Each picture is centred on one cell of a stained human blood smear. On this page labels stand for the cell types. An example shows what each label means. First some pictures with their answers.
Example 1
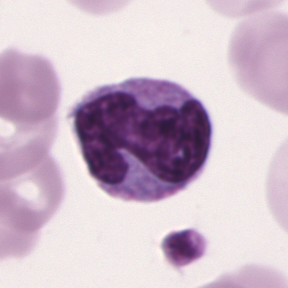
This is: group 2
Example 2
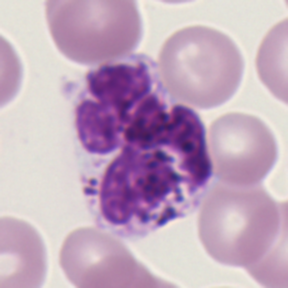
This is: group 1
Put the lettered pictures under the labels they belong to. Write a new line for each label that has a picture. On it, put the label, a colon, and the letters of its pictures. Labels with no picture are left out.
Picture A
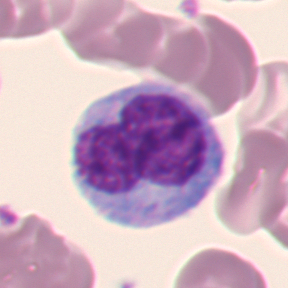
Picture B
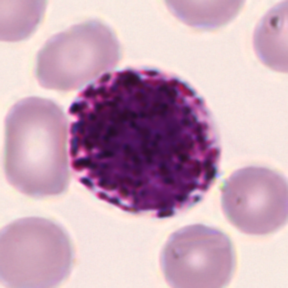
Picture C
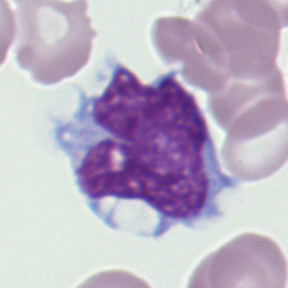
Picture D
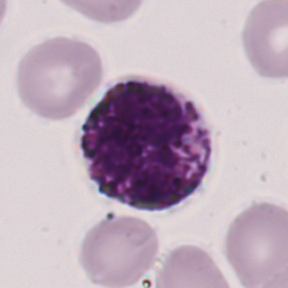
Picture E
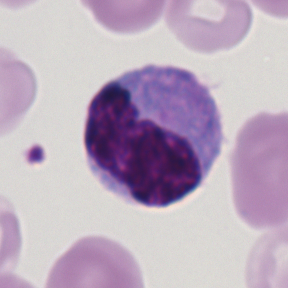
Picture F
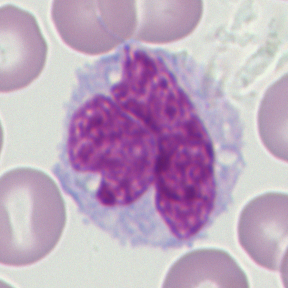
group 2: A, C, E, F
group 1: B, D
